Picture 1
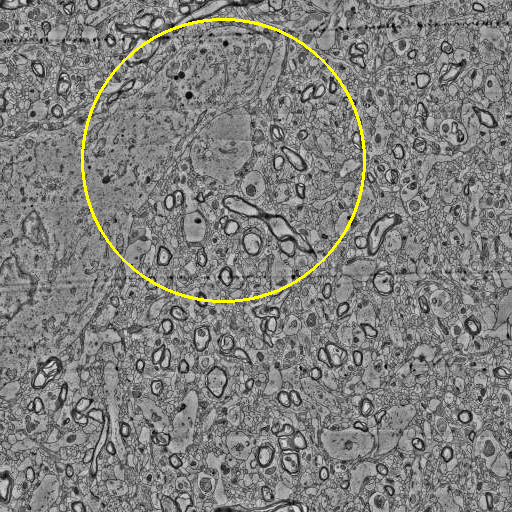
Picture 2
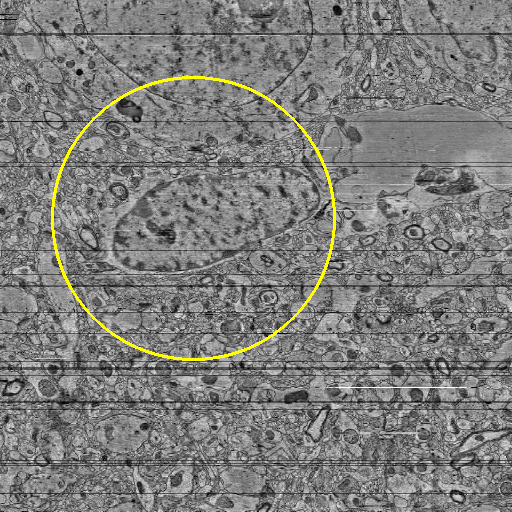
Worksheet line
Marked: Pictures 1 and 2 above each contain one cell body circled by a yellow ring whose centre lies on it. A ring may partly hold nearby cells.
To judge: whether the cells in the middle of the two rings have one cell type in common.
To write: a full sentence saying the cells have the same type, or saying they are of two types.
The cells in the middle of the rings in Picture 1 and Picture 2 have the same type.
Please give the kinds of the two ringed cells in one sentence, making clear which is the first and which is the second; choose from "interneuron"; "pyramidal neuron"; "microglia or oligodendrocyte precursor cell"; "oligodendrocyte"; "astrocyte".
In each picture the ringed cell is a microglial cell or oligodendrocyte precursor cell.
